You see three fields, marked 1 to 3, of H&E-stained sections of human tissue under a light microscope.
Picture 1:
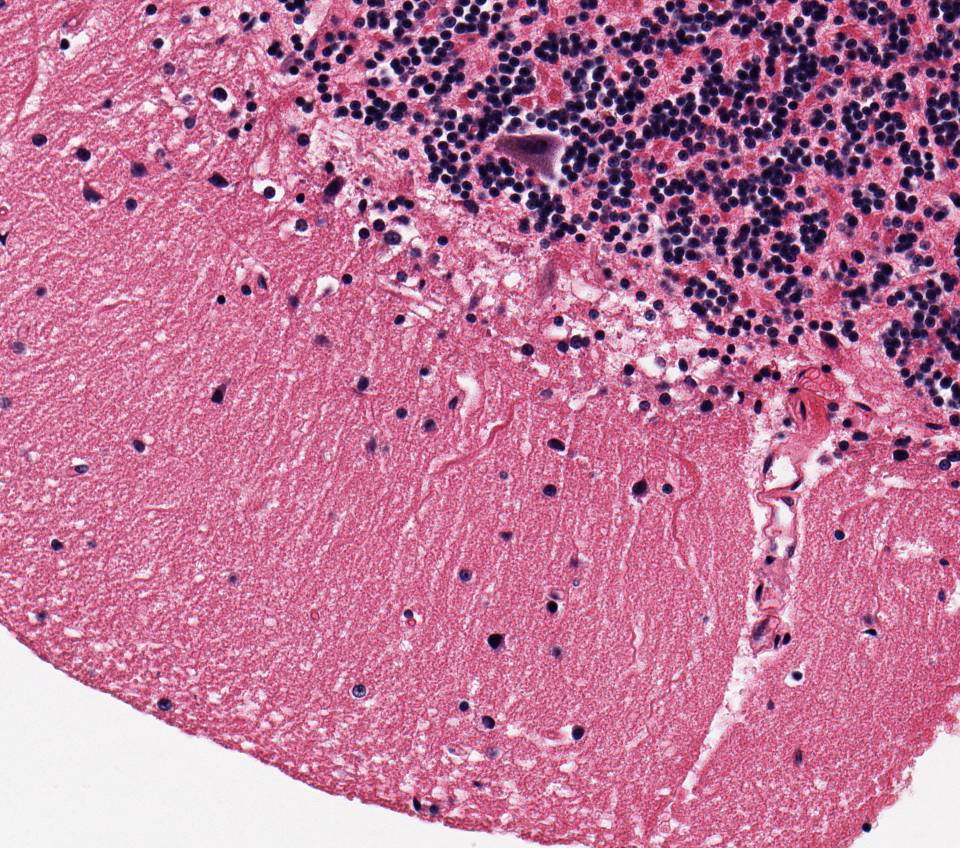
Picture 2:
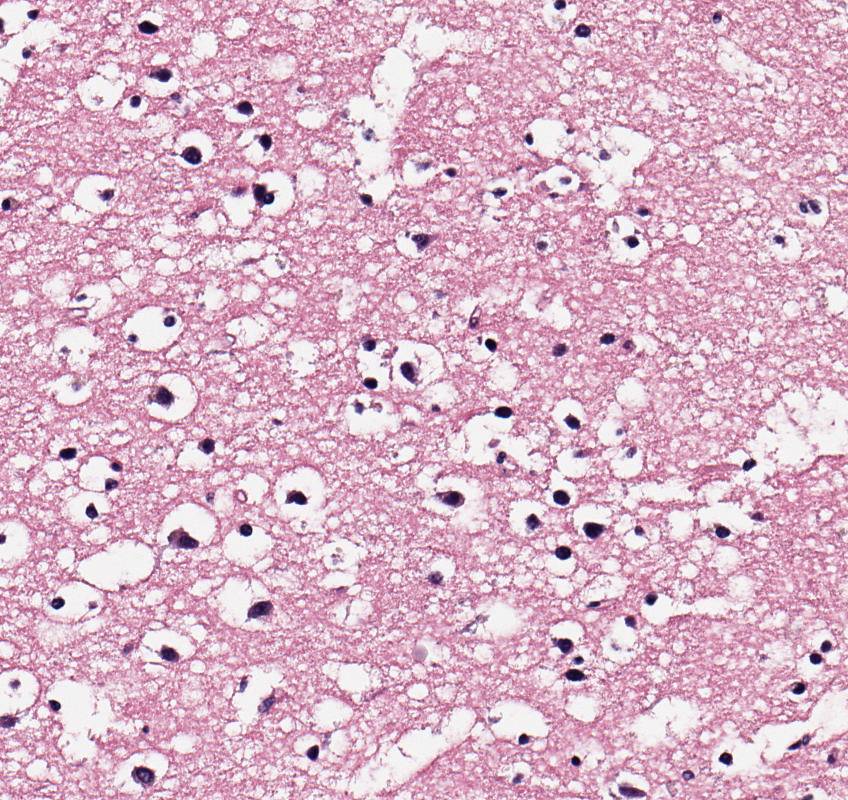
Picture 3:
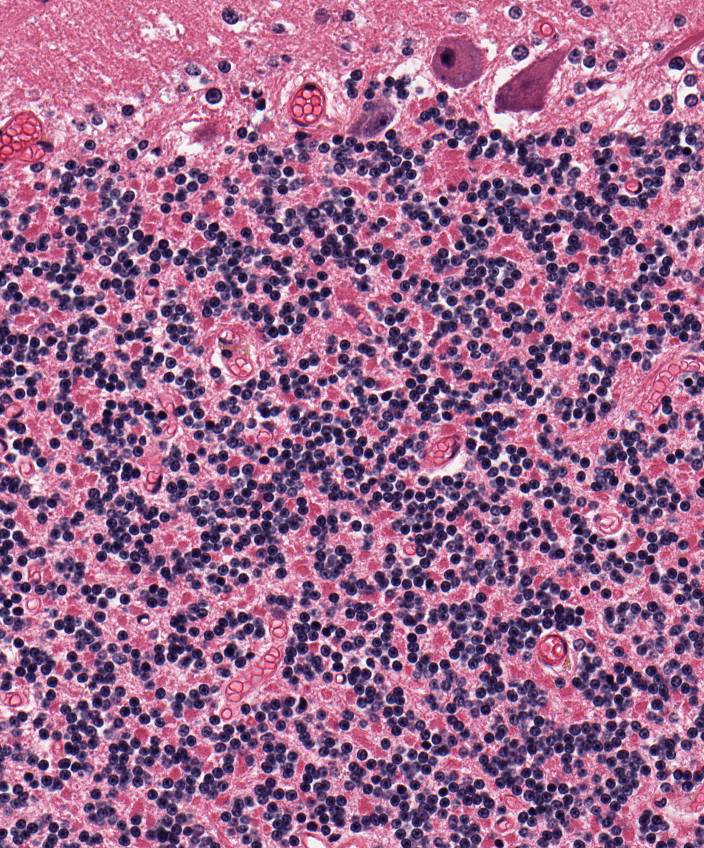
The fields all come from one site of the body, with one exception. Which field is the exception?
2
